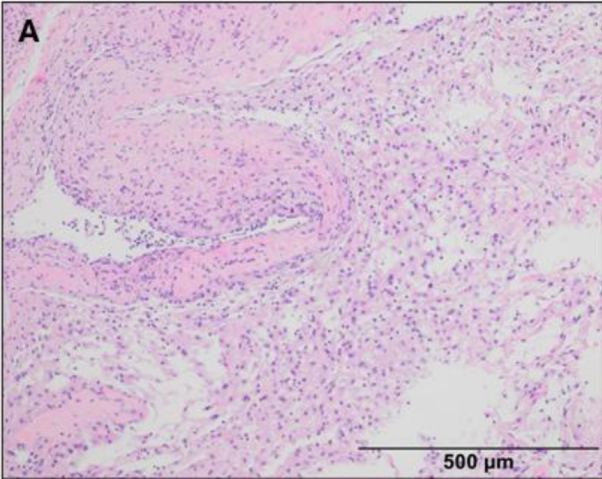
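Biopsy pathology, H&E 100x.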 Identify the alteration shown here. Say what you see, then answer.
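A vessel at upper left has a markedly thickened, cellular wall with a narrowed slit-like lumen. On this evidence: prominent luminal thickening.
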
